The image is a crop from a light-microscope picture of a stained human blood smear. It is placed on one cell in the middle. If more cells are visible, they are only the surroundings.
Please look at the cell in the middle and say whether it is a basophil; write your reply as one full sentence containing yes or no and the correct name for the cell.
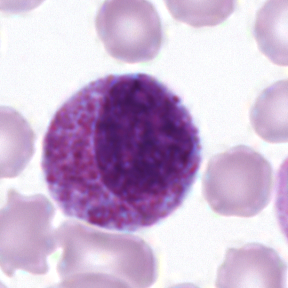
No, the central cell is an eosinophil, not a basophil.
